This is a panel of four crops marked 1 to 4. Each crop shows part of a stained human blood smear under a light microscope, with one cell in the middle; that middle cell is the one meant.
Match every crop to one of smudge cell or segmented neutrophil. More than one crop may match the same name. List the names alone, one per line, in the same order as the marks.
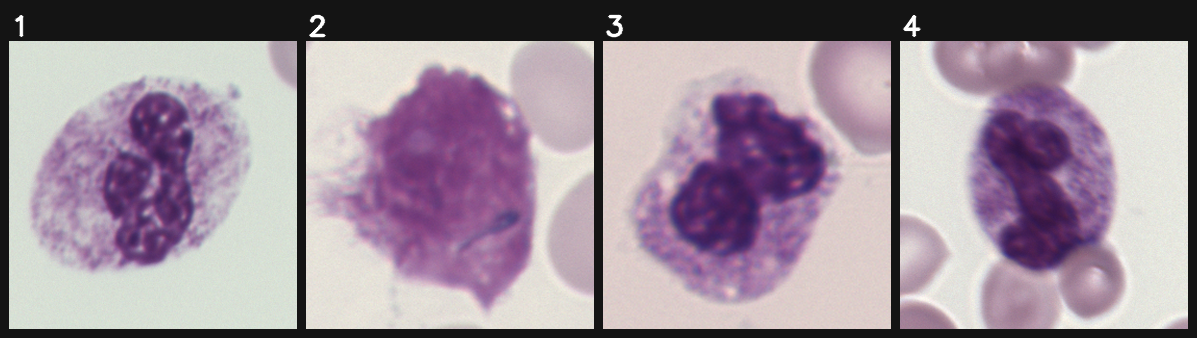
segmented neutrophil
smudge cell
segmented neutrophil
segmented neutrophil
